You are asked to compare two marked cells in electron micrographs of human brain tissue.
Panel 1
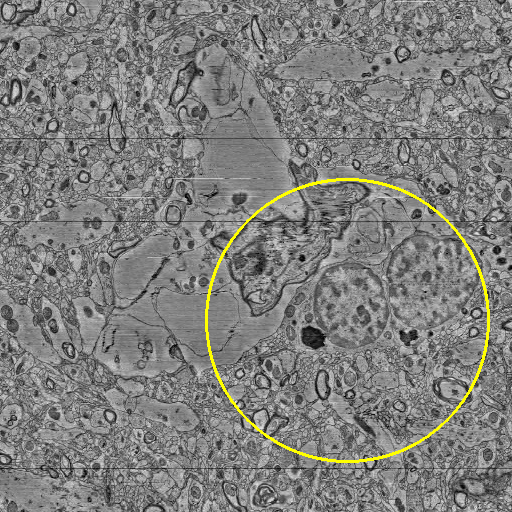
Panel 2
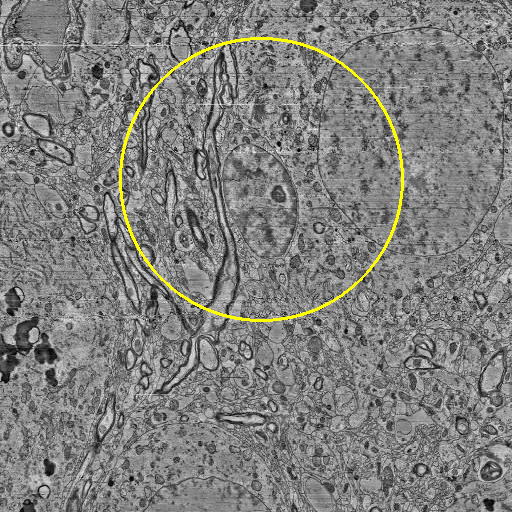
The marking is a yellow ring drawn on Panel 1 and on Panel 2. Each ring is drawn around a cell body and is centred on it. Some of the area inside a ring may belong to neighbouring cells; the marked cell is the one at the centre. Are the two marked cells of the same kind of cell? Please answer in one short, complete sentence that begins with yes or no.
Yes, the two marked cells are of the same kind.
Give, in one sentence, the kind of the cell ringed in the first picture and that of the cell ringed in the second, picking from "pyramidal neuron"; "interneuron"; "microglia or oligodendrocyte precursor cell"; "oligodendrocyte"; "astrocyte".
In each picture the ringed cell is an oligodendrocyte.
